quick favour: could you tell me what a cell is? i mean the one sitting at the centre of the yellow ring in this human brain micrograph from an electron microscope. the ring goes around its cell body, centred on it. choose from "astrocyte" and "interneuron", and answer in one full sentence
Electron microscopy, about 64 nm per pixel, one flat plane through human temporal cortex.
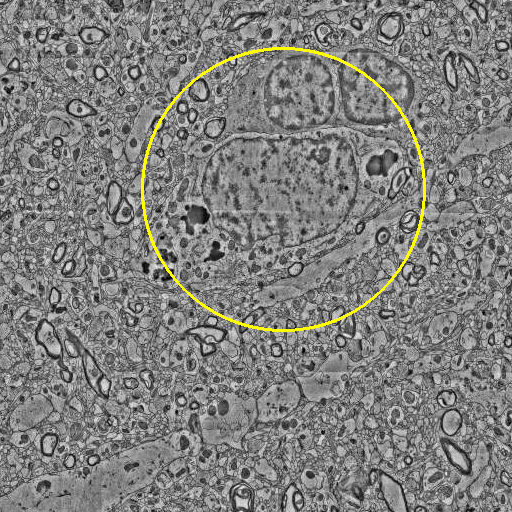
That's an interneuron, the cell sitting at the centre of the yellow ring.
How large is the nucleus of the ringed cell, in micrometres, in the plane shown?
Roughly 10 micrometres by 7 micrometres, in this plane.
